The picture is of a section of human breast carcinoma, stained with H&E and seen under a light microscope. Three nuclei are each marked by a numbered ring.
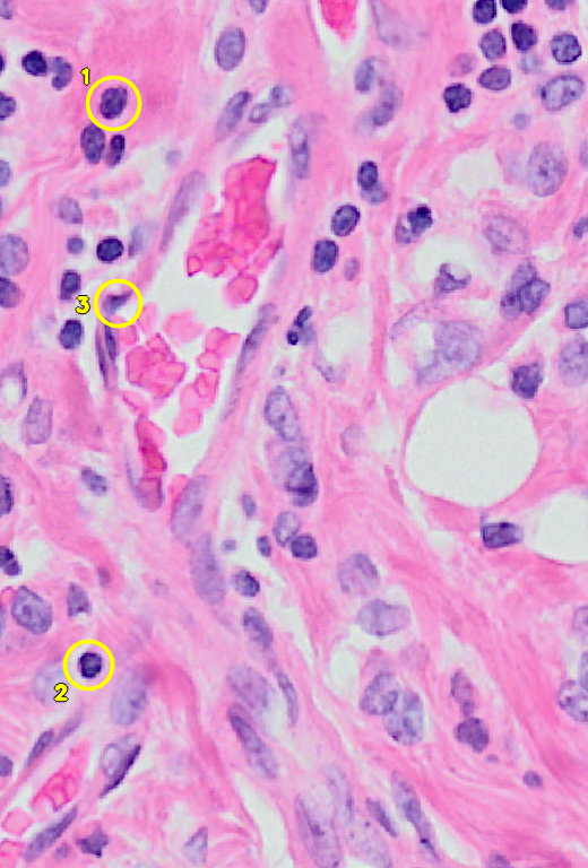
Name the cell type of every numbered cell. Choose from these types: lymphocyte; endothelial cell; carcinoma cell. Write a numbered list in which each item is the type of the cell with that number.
1. lymphocyte
2. lymphocyte
3. endothelial cell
